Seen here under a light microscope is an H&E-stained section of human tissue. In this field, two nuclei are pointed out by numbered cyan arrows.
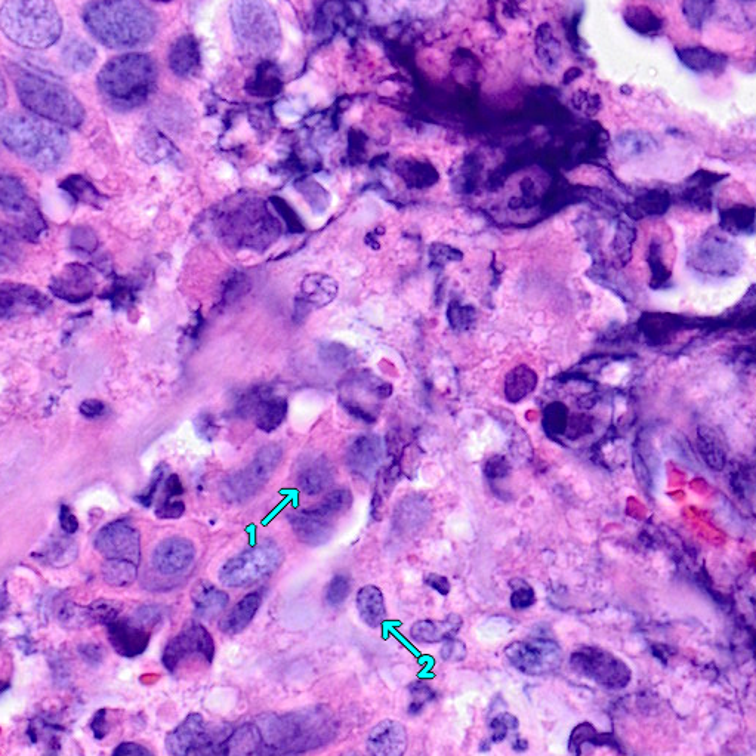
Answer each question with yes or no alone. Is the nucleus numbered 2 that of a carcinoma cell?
no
